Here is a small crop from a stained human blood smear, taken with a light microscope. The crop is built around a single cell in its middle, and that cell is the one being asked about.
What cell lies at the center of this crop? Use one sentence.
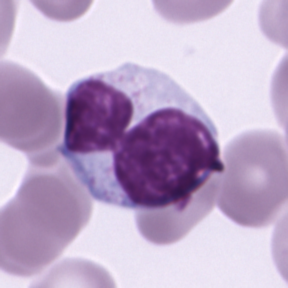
The cell in the middle of this crop is a large granular lymphocyte.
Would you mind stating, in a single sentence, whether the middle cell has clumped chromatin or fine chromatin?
The chromatin pattern here is coarse and clumped.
